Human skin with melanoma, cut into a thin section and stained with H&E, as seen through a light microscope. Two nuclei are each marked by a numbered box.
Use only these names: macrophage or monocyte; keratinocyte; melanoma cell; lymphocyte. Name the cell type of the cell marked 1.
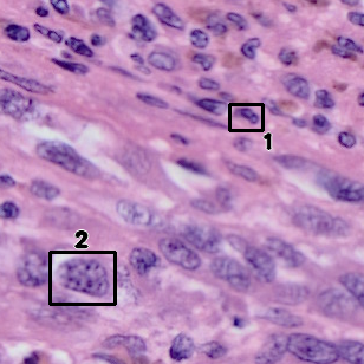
lymphocyte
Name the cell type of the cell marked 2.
melanoma cell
